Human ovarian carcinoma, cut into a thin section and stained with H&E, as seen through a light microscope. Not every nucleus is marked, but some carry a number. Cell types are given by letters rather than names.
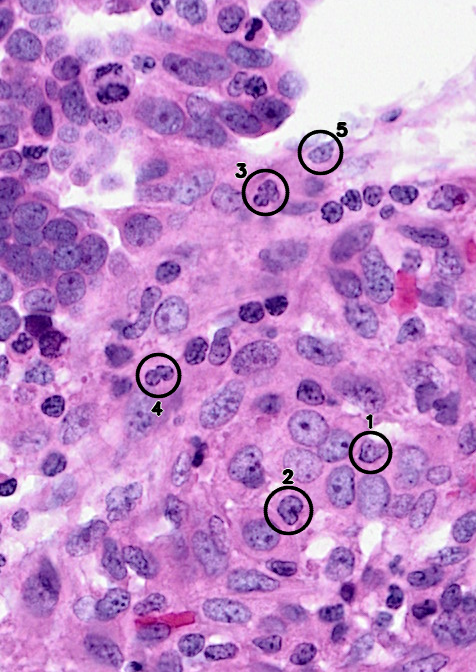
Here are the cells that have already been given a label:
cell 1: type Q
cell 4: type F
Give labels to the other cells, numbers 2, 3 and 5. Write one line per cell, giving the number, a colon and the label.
2: type Q
3: type F
5: type Q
